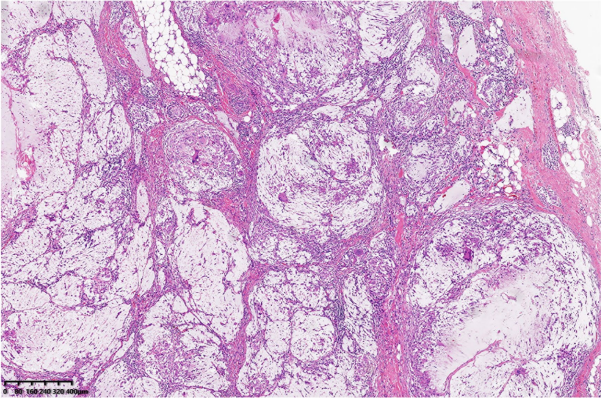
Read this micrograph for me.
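Rounded lobules of pale grey-blue amorphous material fill the field, separated by pink fibrous septa, with fat cells at the edges. Dense purple infiltrates of inflammatory cells lie within and around the lobules, so the material is broken up by cells rather than walled off by a thin capsule.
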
